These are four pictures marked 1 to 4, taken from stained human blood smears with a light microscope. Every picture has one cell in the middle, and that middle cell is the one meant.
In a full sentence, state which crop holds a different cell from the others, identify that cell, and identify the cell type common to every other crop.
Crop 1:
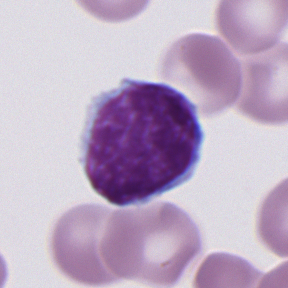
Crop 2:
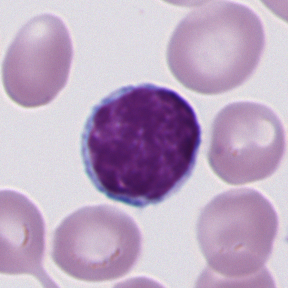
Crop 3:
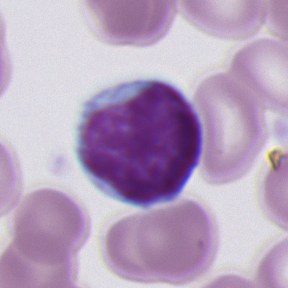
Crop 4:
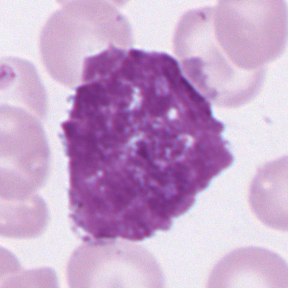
Only crop 4 differs, being a smudge cell, while the others all show typical lymphocytes.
